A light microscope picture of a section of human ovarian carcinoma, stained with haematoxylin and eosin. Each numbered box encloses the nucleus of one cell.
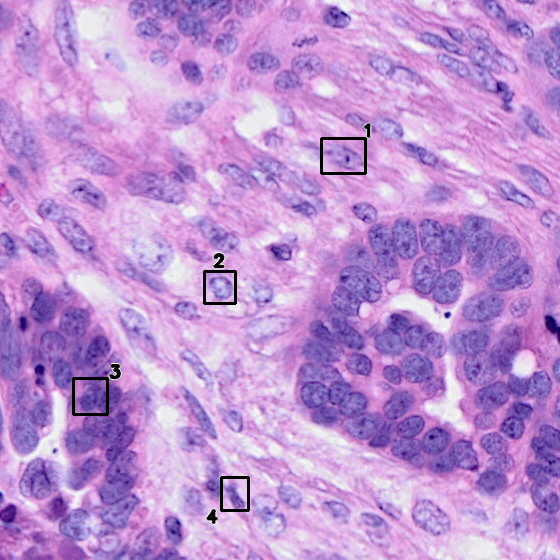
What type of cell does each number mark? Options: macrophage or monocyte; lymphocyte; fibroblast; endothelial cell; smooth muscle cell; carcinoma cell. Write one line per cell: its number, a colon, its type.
1: fibroblast
2: fibroblast
3: carcinoma cell
4: fibroblast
